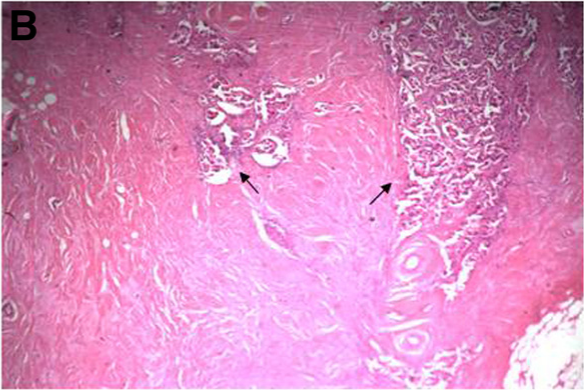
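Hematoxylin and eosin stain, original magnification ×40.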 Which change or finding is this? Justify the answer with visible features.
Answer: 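Dense, pale-to-deep pink fibrous tissue with few nuclei fills the space between the two cell clusters. The fibres run in wavy bundles.
Conclusion: fibrotic change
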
